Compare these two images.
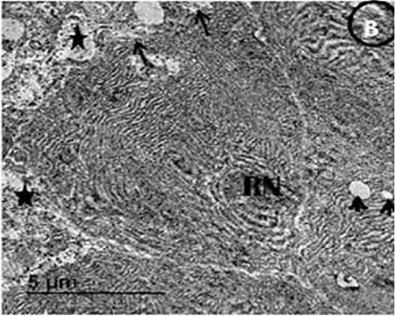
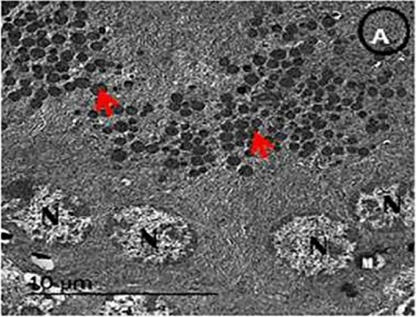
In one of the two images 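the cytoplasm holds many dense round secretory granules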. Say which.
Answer: the second image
